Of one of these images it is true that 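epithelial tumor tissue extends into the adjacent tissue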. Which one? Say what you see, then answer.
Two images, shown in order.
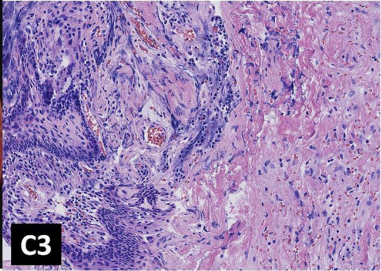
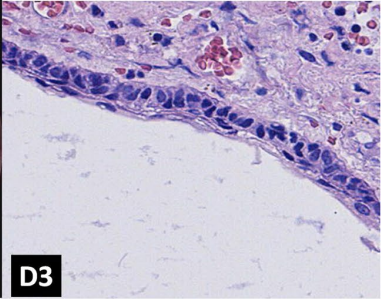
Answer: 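First image: irregular cords of purple epithelial cells reach into the pink fibrous tissue beside them. That points to this answer: the first image.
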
